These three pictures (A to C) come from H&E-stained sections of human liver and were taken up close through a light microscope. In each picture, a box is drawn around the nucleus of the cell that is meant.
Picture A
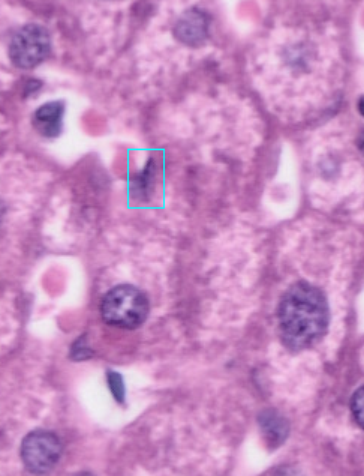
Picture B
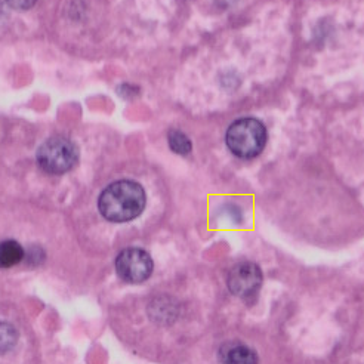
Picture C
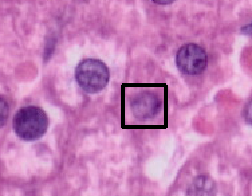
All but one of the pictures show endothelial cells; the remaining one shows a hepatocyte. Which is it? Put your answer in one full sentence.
Picture C shows the hepatocyte.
